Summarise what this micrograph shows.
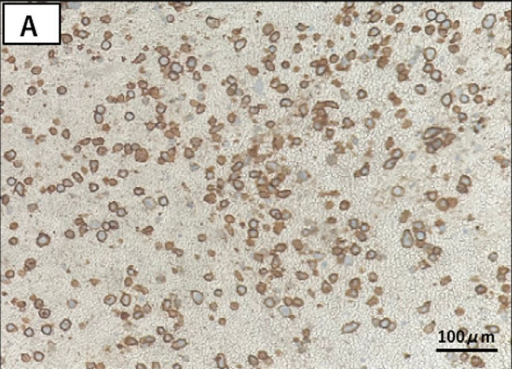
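The staining is strongest at the cell borders, so many cells appear as brown rings around a paler centre. These stained cells lie singly or in small groups among a pale background of small unstained elements.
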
